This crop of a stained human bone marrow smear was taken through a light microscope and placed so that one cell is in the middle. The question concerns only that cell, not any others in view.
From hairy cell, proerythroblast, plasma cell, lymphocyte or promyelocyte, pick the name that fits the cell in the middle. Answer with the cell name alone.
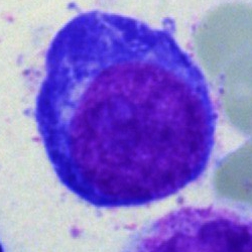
proerythroblast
